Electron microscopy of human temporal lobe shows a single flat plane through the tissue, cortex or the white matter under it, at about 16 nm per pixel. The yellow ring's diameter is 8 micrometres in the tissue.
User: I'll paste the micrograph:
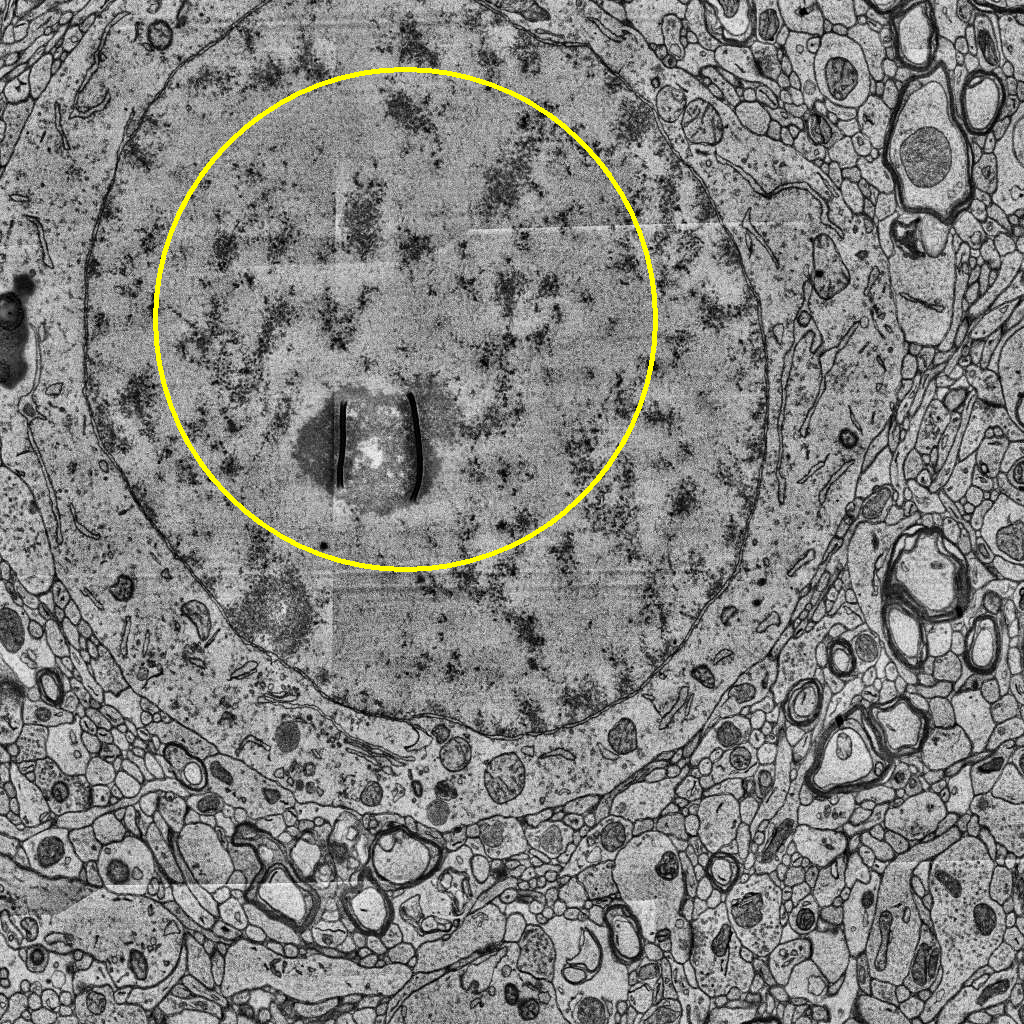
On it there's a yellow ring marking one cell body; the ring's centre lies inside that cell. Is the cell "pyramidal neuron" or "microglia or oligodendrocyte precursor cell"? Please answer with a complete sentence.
The cell at the centre of the yellow ring is a pyramidal neuron.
